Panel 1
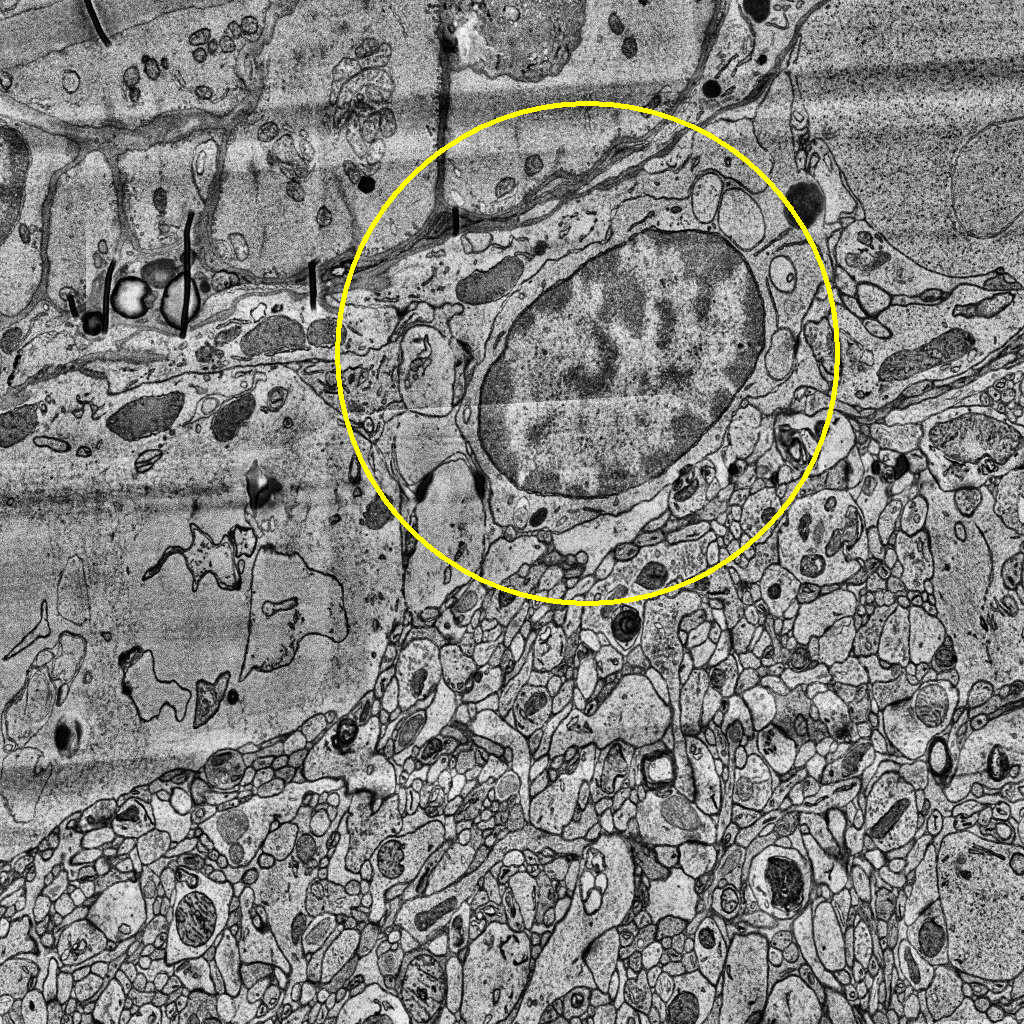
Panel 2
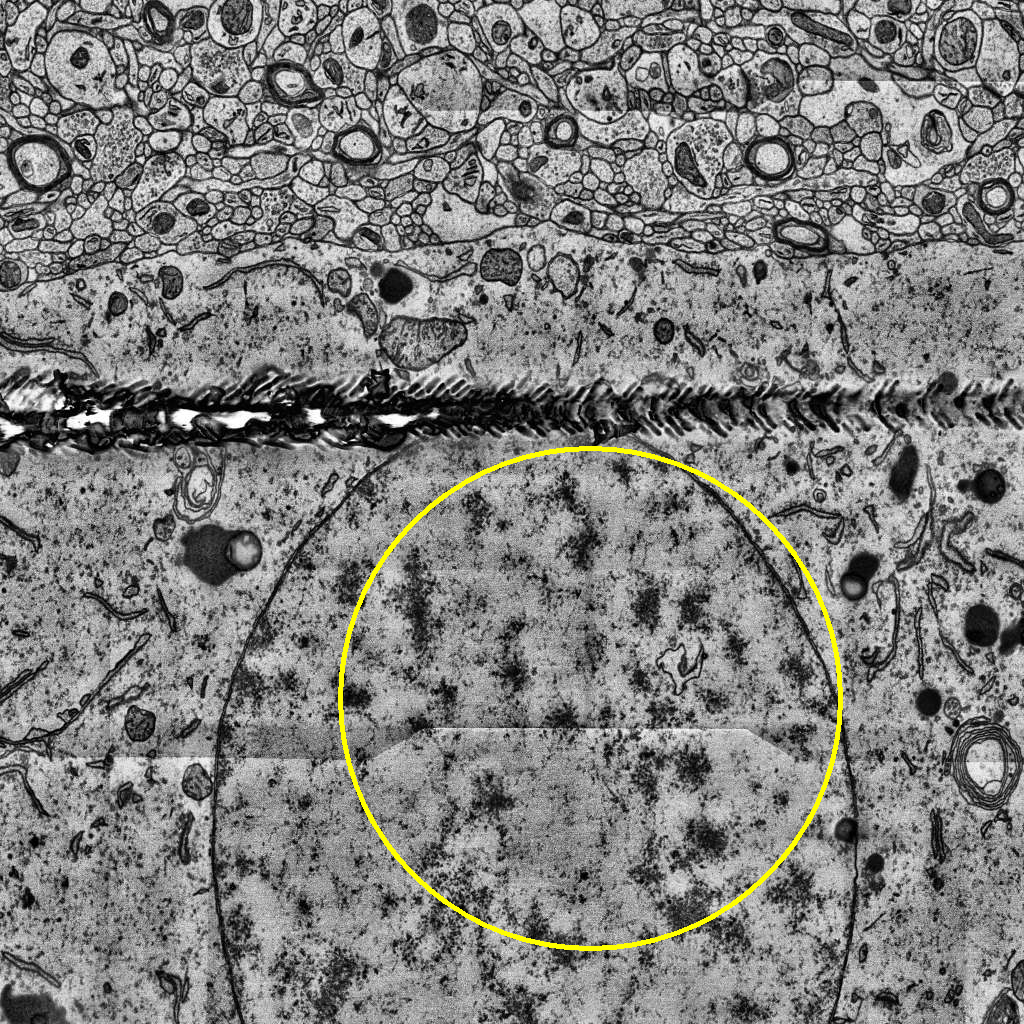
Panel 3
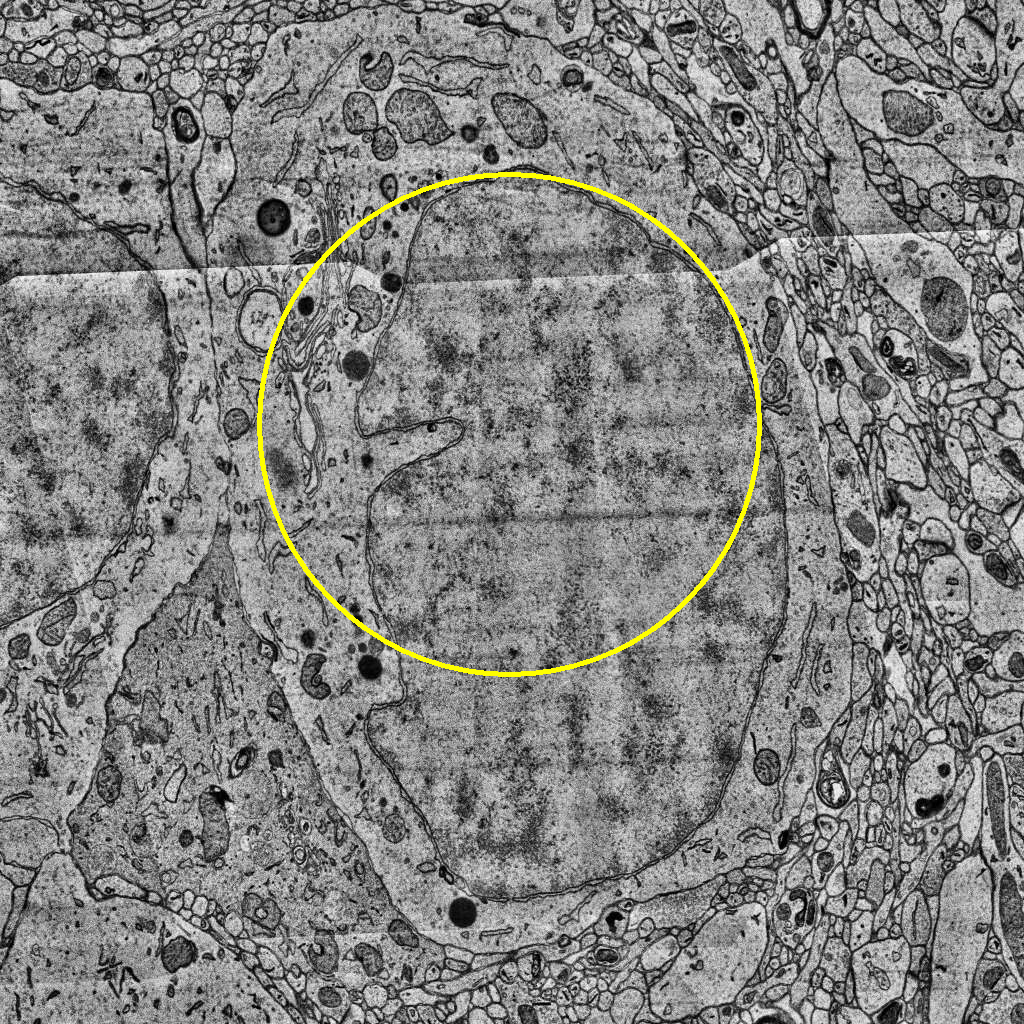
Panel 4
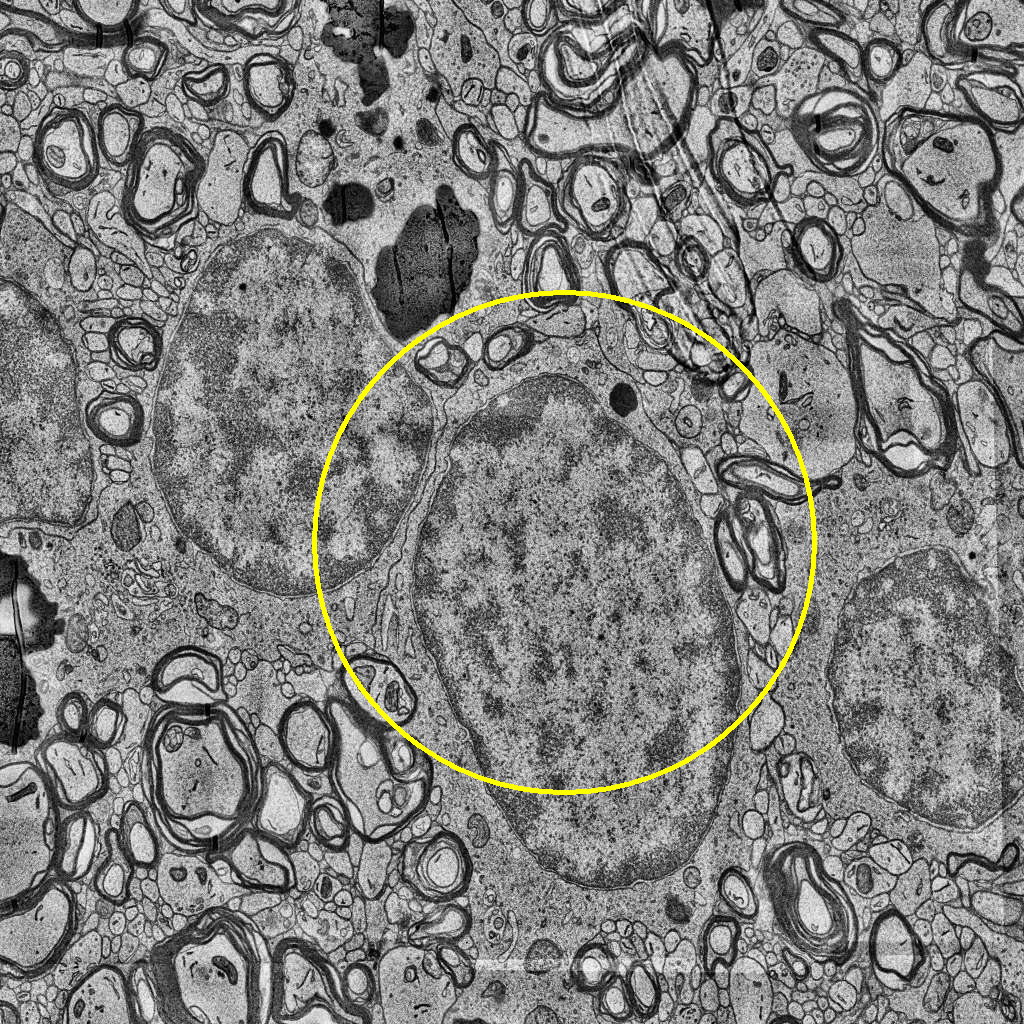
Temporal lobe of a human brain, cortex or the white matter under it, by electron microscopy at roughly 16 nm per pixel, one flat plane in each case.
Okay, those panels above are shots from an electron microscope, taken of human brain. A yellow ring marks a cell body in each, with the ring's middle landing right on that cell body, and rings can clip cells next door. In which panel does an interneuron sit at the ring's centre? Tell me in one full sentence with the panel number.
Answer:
The cell you asked for has the ring's centre inside it in panel 3.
